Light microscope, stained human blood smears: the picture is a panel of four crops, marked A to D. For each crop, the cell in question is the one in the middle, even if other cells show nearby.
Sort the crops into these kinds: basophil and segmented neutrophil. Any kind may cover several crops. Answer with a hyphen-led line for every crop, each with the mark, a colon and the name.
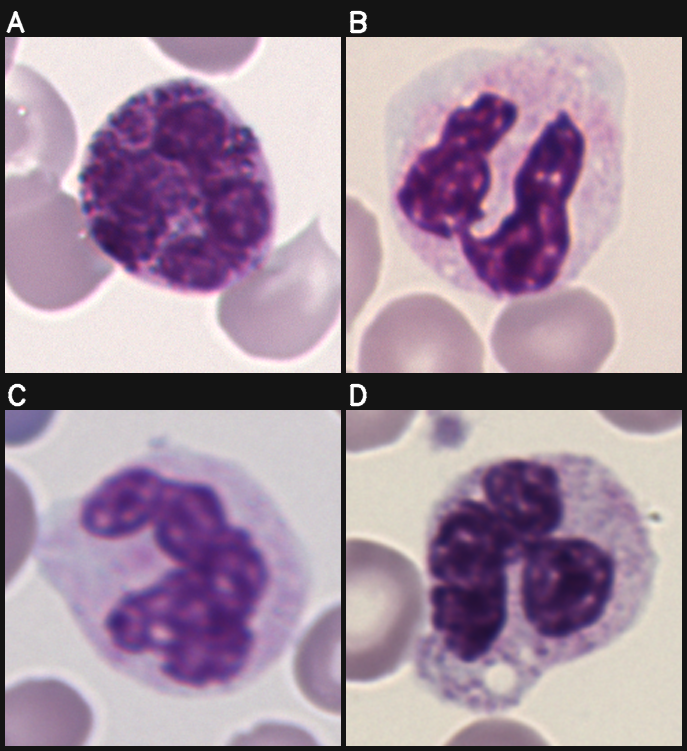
- A: basophil
- B: segmented neutrophil
- C: segmented neutrophil
- D: segmented neutrophil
